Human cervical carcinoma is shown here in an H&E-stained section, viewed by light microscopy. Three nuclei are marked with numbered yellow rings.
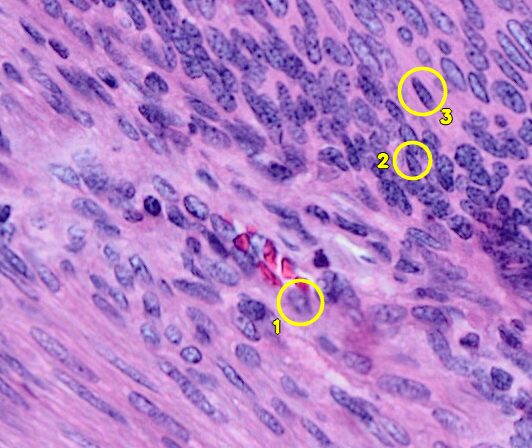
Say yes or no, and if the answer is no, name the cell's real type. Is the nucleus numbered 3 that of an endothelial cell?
No, it is a squamous carcinoma cell.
